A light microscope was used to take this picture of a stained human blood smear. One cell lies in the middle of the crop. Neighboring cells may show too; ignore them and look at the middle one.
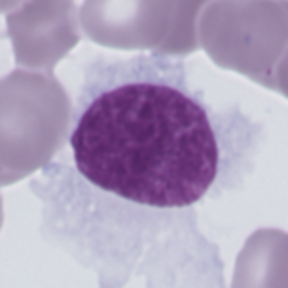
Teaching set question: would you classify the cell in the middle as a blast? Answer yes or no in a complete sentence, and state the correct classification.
No, the centre cell is not a blast but a hairy cell.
